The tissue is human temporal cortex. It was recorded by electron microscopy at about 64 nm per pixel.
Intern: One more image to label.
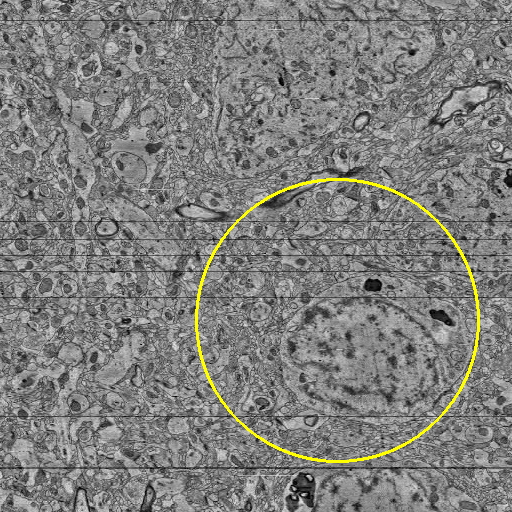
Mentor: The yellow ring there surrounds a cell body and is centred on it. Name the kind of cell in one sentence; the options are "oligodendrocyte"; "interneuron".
The ring marks the cell body of an interneuron.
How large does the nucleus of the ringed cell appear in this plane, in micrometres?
Approximately 10 by 8 micrometers in this plane.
